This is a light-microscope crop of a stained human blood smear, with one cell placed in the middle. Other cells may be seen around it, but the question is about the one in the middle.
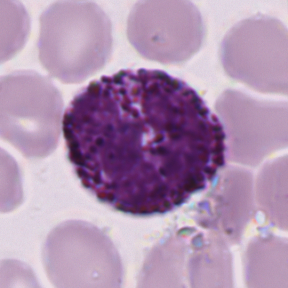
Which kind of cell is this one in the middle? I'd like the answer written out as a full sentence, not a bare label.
The cell that lies at the centre of the crop is a basophil.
